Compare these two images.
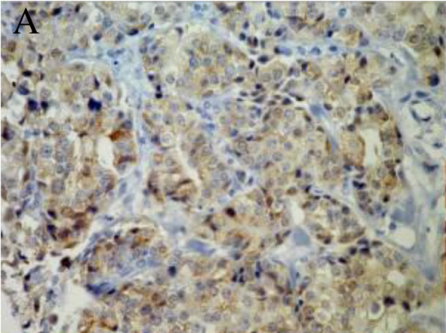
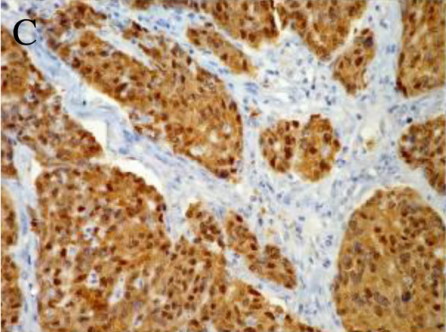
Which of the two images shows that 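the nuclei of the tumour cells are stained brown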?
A: the second image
